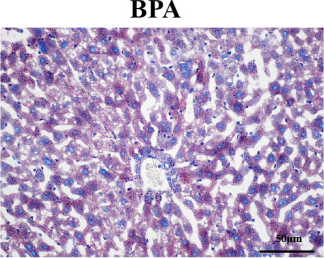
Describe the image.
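Liver tissue around a central vessel shows hepatocytes in cords separated by pale sinusoidal spaces. Nearly all hepatocytes have cytoplasm crowded with many small red droplets, giving the field a diffuse red-purple tone. Round blue nuclei stand out among the droplets.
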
